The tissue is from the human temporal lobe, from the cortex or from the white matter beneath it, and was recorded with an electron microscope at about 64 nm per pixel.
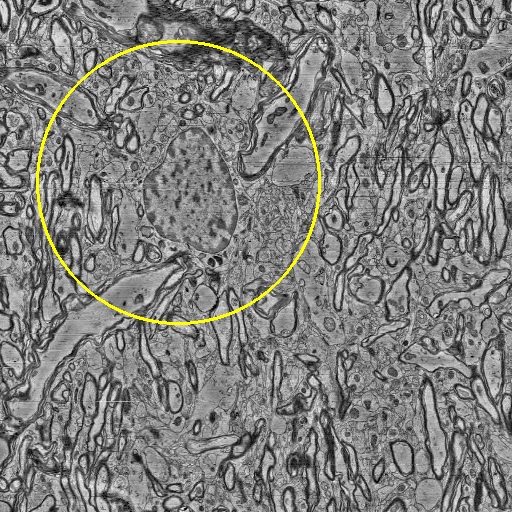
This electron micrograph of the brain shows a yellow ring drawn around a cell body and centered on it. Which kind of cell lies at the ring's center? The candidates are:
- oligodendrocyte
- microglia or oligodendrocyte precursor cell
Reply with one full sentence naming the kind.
The cell lying at the ring's center in this micrograph is a microglial cell or oligodendrocyte precursor cell.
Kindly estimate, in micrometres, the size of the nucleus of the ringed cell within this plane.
Approximately 8 x 6 micrometres in this plane.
